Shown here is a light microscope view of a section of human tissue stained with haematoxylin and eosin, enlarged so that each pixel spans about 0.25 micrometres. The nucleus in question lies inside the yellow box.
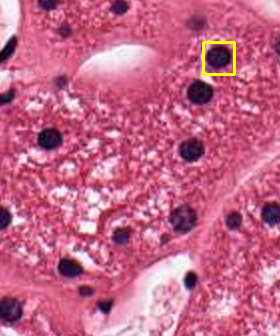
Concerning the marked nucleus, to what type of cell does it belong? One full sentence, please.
Located in a proximal tubule cell is the marked nucleus.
